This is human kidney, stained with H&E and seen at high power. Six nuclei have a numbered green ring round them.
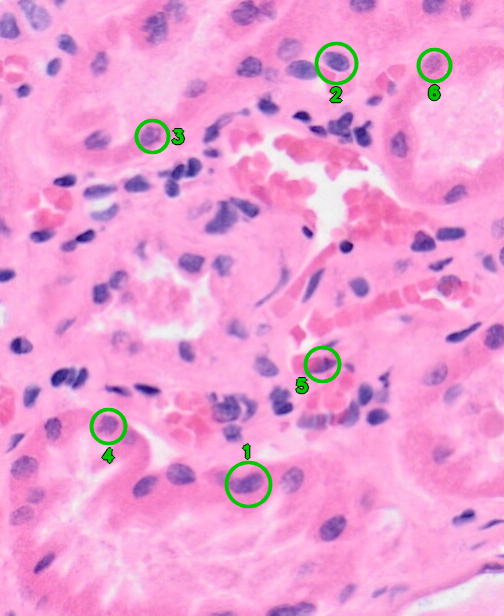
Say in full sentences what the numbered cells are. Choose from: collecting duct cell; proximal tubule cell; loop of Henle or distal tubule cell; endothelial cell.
Cell 1 is a proximal tubule cell, cell 2 is an endothelial cell, cell 3 is a proximal tubule cell, cell 4 is a proximal tubule cell, cell 5 is an endothelial cell and cell 6 is a proximal tubule cell.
